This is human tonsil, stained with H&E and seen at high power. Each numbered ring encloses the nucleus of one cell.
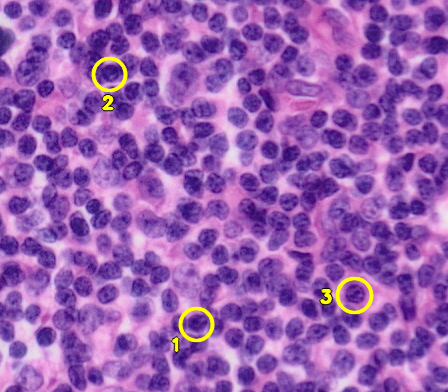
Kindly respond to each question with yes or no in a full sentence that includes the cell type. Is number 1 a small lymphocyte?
Yes, the cell given number 1 is a small lymphocyte.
